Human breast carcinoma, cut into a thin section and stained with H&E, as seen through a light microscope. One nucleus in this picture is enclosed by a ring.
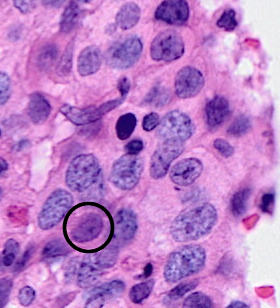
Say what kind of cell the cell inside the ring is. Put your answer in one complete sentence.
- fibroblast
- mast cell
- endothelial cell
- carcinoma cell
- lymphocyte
Labelled by cell type, the cell inside the ring is a carcinoma cell.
